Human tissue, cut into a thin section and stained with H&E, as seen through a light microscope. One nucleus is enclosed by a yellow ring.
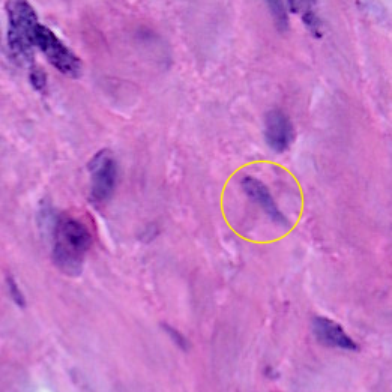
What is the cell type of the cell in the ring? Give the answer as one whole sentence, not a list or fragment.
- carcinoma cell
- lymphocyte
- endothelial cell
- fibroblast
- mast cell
For the purposes of cell typing, the cell in the ring is categorized as a fibroblast.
